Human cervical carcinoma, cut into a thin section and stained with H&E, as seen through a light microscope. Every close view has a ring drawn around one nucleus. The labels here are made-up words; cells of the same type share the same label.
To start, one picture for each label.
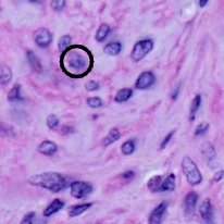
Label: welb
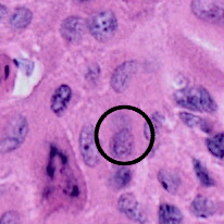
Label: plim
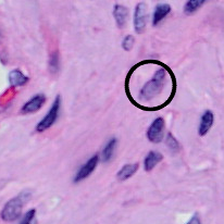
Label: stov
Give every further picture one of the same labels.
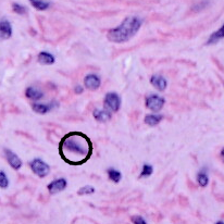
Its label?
welb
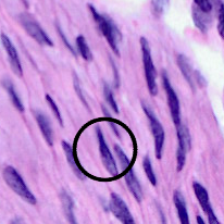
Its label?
stov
